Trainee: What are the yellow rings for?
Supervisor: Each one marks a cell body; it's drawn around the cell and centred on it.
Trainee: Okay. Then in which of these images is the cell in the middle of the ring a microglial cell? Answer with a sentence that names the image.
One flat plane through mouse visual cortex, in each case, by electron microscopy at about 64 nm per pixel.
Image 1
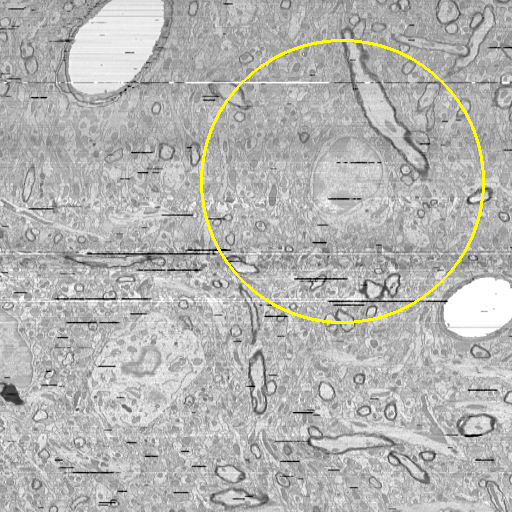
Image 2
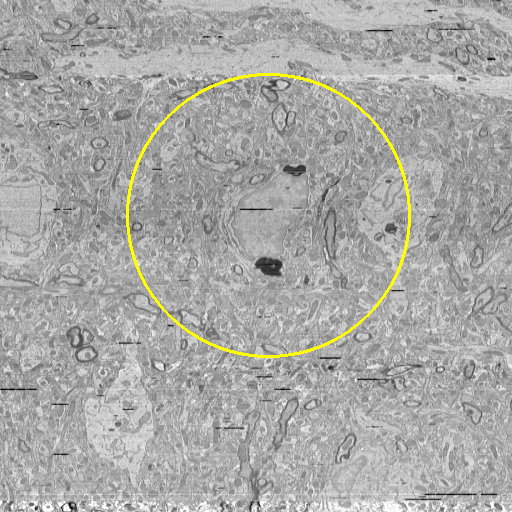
Image 2 has it in the middle of the ring.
